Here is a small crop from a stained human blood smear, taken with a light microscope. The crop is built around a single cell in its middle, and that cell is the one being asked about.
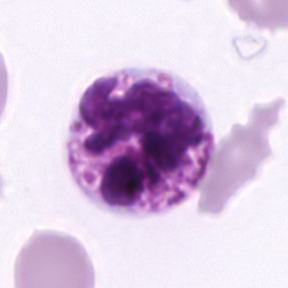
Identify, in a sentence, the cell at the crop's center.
This crop is built around a basophil at its centre.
